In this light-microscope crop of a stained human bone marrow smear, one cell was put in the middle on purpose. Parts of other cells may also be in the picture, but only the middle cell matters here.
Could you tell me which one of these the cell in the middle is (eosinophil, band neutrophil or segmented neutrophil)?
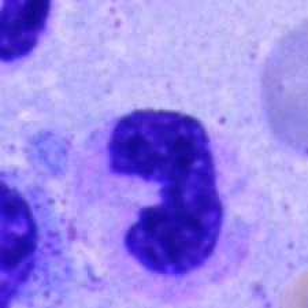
band neutrophil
